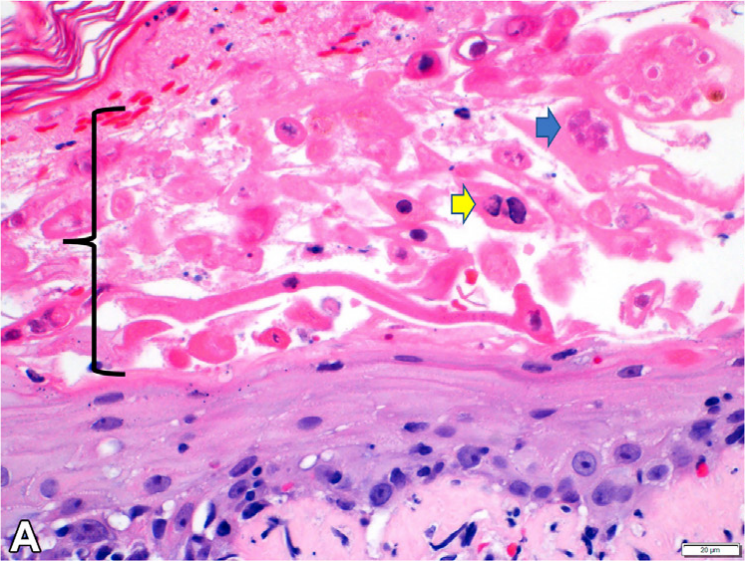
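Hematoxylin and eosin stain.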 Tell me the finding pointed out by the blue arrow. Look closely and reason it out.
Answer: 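Multinucleation. The marked cell holds several nuclei crowded together in one pink cytoplasm. The nuclei press against one another.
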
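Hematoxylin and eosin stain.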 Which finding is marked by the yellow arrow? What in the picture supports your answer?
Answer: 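The marked cell's nuclei have dark chromatin gathered at their rims. The nuclear centres look paler and glassy. That points to this answer: chromatin margination.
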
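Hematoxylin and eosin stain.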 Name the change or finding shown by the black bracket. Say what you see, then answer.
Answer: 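Herpetic viropathic changes. The bracketed zone holds loose, rounded, swollen pink cells detached from one another. Several of these cells carry multiple or altered nuclei. The zone lies above a layer of intact, purple-staining epidermal cells.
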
